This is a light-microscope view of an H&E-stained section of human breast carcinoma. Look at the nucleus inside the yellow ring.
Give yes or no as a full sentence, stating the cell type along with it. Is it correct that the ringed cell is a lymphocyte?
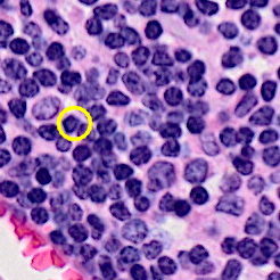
Yes, the ringed cell in this field is a lymphocyte.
